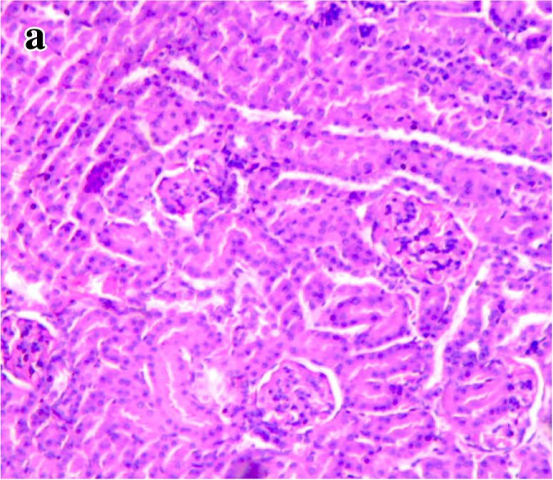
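Kidney cortex with closely packed renal tubules and glomeruli. The tubules are cut in cross and oblique section and are lined by cuboidal cells with pink, eosinophilic cytoplasm and round, dark purple nuclei. Their lumens are narrow, and thin pale clefts separate neighbouring tubules. Several rounded glomeruli are scattered among them. Each glomerulus is a compact tuft of capillary loops with densely packed dark nuclei, giving it a more purple look than the surrounding tubules. A thin pale space surrounds each tuft inside its capsule. The tissue is evenly stained, with no large empty spaces or loose material in the lumens.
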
